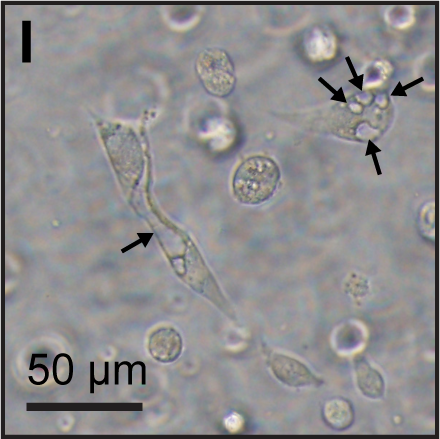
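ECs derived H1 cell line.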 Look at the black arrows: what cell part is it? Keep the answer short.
Intracellular vacuoles.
